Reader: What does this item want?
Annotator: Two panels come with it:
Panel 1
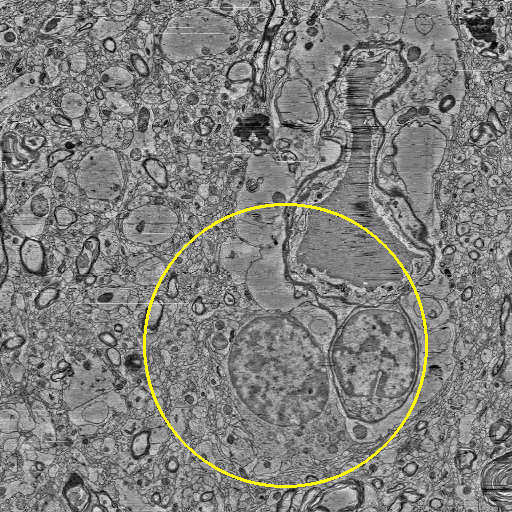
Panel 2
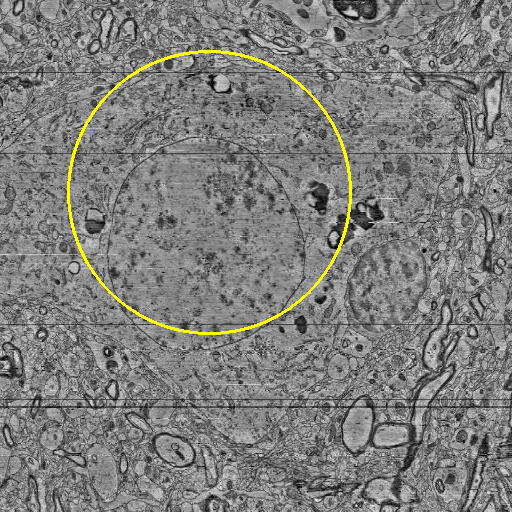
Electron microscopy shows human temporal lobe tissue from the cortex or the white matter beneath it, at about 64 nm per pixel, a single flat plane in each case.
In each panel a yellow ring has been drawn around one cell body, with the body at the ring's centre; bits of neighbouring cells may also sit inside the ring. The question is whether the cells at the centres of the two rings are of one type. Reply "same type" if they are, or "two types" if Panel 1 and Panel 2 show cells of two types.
two types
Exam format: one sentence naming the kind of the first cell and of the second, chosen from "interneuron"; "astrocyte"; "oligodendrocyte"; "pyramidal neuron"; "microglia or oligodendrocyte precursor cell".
The first picture's cell is an oligodendrocyte, and the second picture's cell is a pyramidal neuron.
